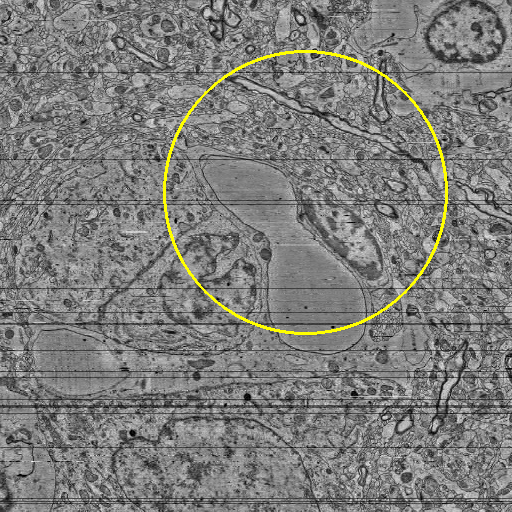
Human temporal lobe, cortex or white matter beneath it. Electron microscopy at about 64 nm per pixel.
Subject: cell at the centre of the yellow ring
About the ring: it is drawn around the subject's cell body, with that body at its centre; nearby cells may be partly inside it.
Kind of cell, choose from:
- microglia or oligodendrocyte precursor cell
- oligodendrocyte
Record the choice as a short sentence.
The subject cell is a microglial cell or oligodendrocyte precursor cell.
